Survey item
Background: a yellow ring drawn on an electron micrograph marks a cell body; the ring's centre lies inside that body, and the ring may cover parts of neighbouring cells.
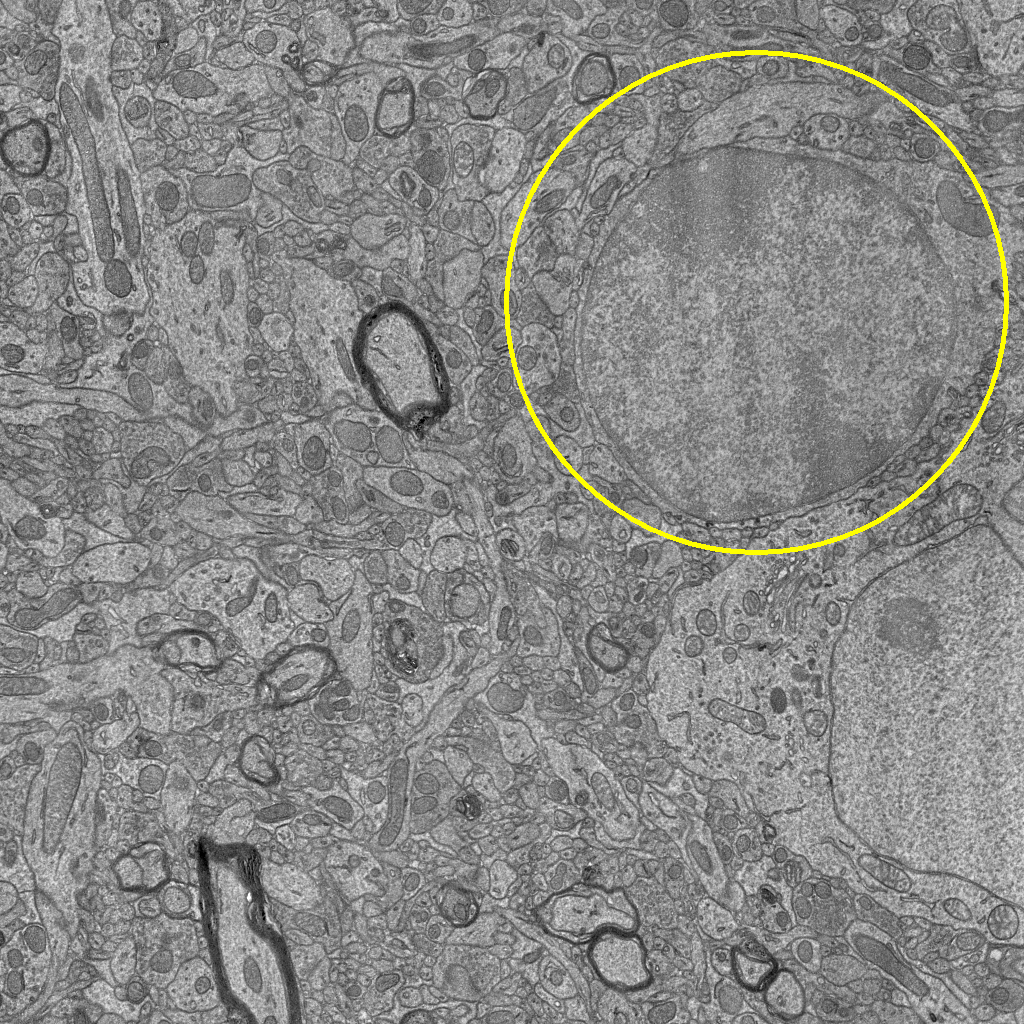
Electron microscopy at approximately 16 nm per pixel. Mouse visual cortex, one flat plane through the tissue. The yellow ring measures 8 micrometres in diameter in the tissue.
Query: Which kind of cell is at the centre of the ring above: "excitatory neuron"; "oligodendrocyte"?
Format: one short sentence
The cell in the middle of the ring is an oligodendrocyte.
